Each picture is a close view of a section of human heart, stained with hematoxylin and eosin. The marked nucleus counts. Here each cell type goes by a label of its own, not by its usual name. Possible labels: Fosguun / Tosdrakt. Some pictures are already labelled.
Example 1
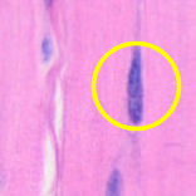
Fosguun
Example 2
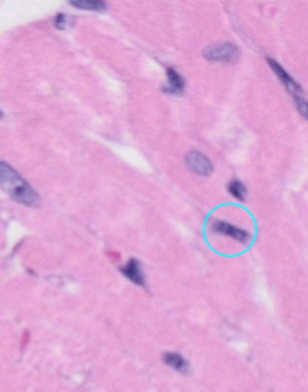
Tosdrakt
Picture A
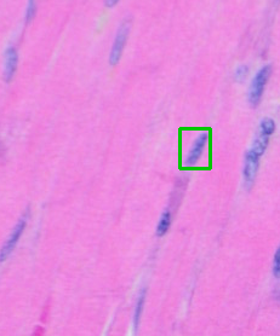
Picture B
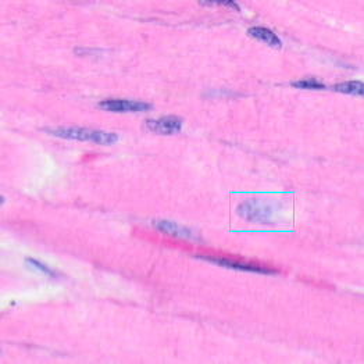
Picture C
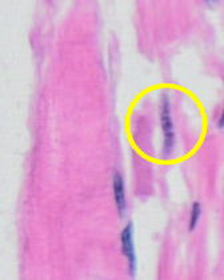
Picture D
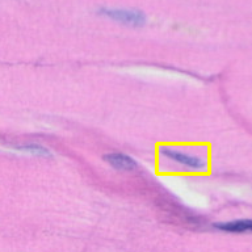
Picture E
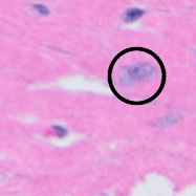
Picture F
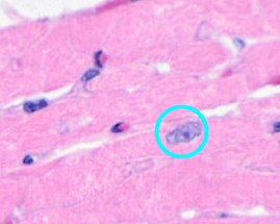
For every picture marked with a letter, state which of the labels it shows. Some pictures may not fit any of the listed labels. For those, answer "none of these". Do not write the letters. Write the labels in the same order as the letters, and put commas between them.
Tosdrakt, none of these, Tosdrakt, Tosdrakt, none of these, none of these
